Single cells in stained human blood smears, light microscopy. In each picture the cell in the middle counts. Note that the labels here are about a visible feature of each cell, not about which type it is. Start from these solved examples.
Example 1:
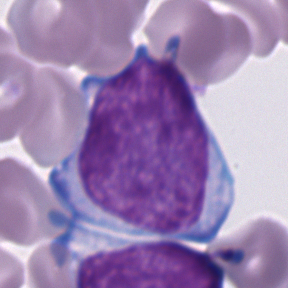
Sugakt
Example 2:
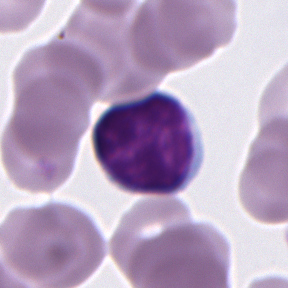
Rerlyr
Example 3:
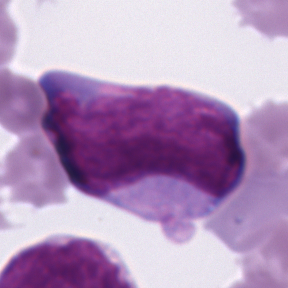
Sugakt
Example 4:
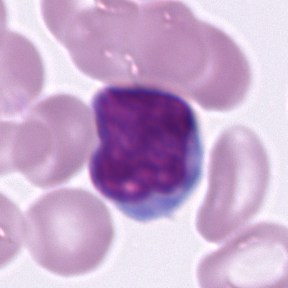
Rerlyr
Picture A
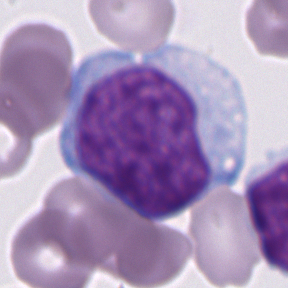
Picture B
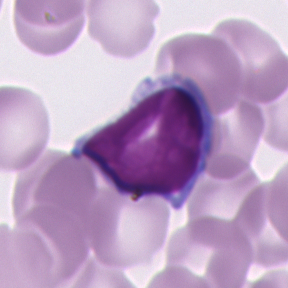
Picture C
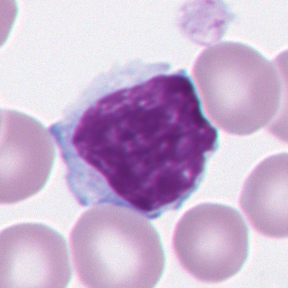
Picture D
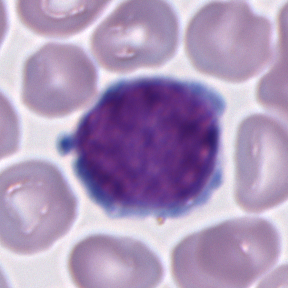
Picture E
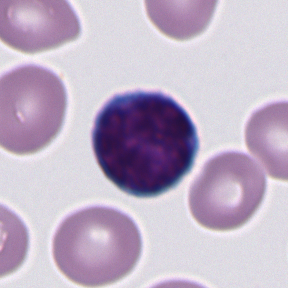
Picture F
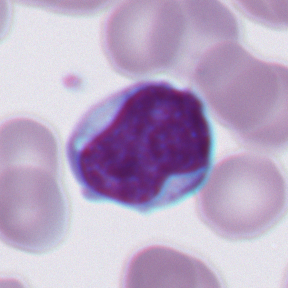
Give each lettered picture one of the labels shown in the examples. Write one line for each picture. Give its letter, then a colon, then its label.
A: Rerlyr
B: Sugakt
C: Sugakt
D: Sugakt
E: Rerlyr
F: Rerlyr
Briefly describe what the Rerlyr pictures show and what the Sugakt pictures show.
Rerlyr, smooth outline; Sugakt, ragged outline or projections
